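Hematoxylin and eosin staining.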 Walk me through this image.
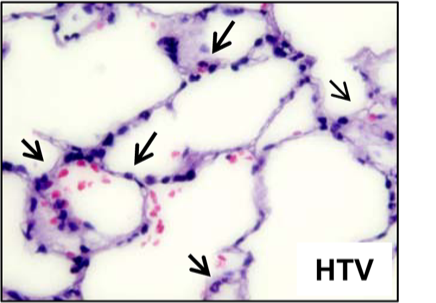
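Lung parenchyma with alveoli showing injury. Large, pale, empty alveolar spaces are separated by septa that are clearly thicker and more cellular than normal, with crowded dark purple nuclei along them. Several groups of small, round, bright pink-red anucleate bodies, red blood cells, lie within and beside the septa and spill into alveolar spaces, forming patches of hemorrhage. Scattered small nucleated cells among the septa fit inflammatory cells. Some septal junctions hold pale pink, wispy material. The alveolar architecture is still recognizable, but the walls look swollen and irregular.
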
